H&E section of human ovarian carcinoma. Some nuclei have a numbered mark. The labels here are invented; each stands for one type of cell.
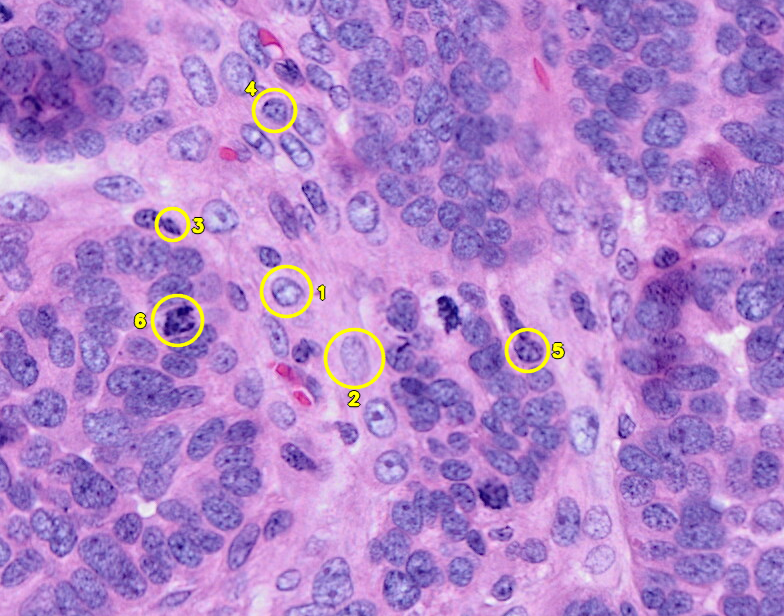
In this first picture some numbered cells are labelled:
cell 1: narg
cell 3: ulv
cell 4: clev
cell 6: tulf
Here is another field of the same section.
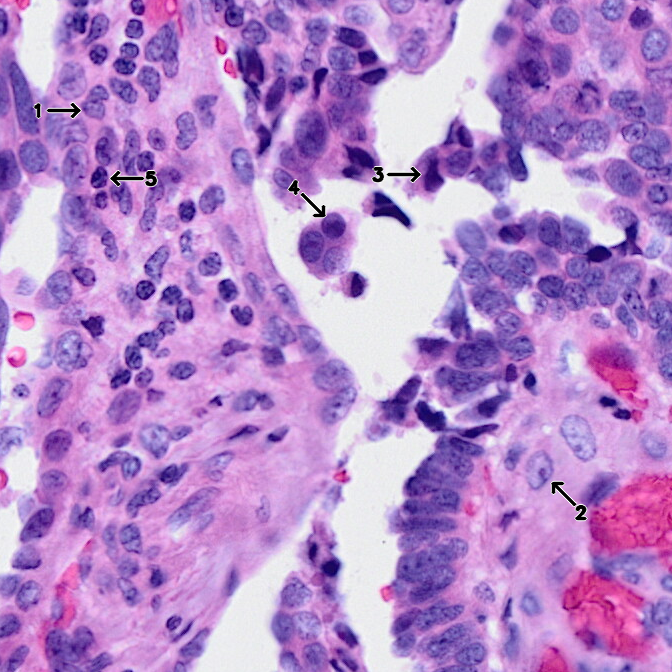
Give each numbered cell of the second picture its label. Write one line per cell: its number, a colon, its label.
1: clev
2: narg
3: tulf
4: tulf
5: ulv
